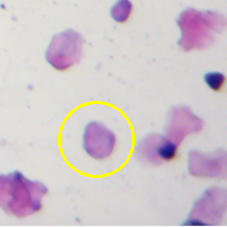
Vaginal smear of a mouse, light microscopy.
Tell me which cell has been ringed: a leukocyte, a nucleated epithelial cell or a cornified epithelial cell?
It is a nucleated epithelial cell.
